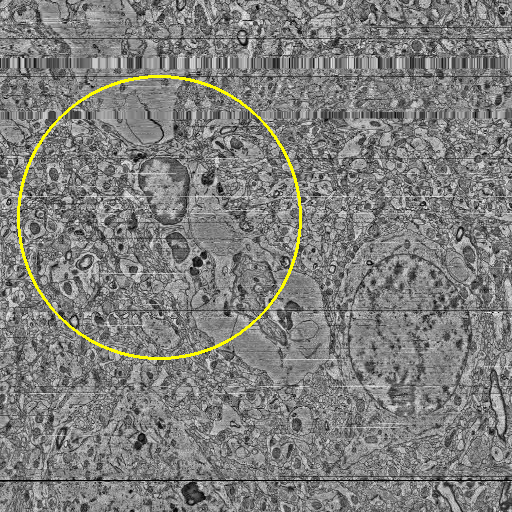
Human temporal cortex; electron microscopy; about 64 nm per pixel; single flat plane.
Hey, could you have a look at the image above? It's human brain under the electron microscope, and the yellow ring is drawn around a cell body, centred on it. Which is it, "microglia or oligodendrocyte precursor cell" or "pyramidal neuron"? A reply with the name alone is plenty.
microglia or oligodendrocyte precursor cell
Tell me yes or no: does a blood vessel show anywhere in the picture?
Yes, the image shows a blood vessel.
